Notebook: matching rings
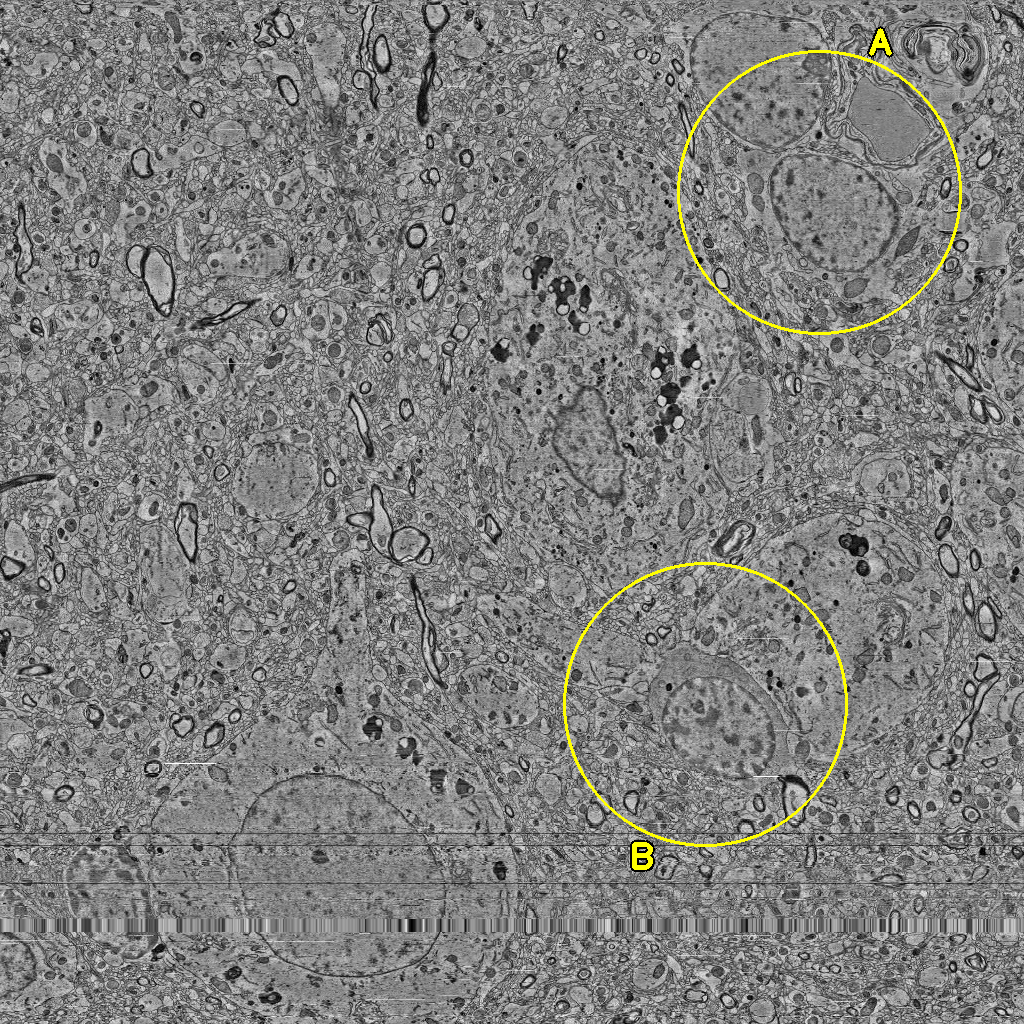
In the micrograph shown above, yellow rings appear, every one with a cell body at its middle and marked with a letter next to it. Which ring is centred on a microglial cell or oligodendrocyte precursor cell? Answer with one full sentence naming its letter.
A cell of that kind lies at the centre of the ring lettered A.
